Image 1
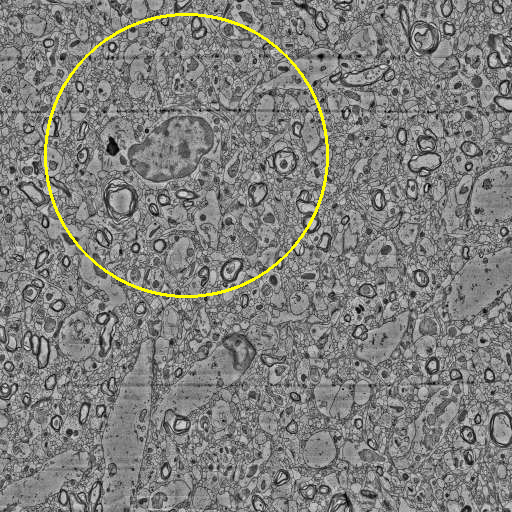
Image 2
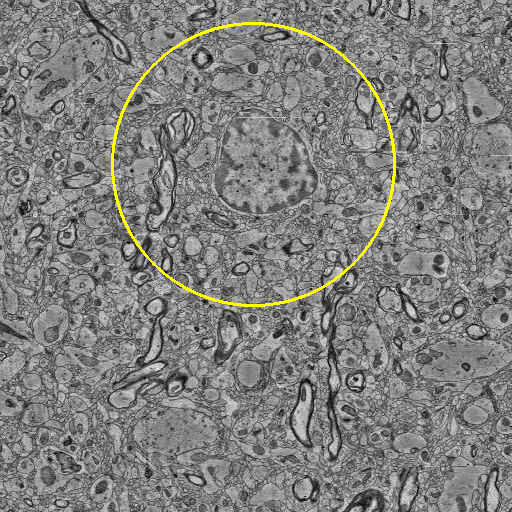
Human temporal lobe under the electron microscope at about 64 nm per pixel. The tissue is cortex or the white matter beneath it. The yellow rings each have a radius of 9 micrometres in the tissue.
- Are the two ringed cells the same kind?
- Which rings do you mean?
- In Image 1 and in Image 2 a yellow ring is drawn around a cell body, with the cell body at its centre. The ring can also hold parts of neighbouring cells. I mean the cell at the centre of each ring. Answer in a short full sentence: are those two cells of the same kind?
Yes, both cells are of the same kind.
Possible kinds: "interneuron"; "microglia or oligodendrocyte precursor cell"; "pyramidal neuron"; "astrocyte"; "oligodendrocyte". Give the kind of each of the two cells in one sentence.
In each picture the ringed cell is a microglial cell or oligodendrocyte precursor cell.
